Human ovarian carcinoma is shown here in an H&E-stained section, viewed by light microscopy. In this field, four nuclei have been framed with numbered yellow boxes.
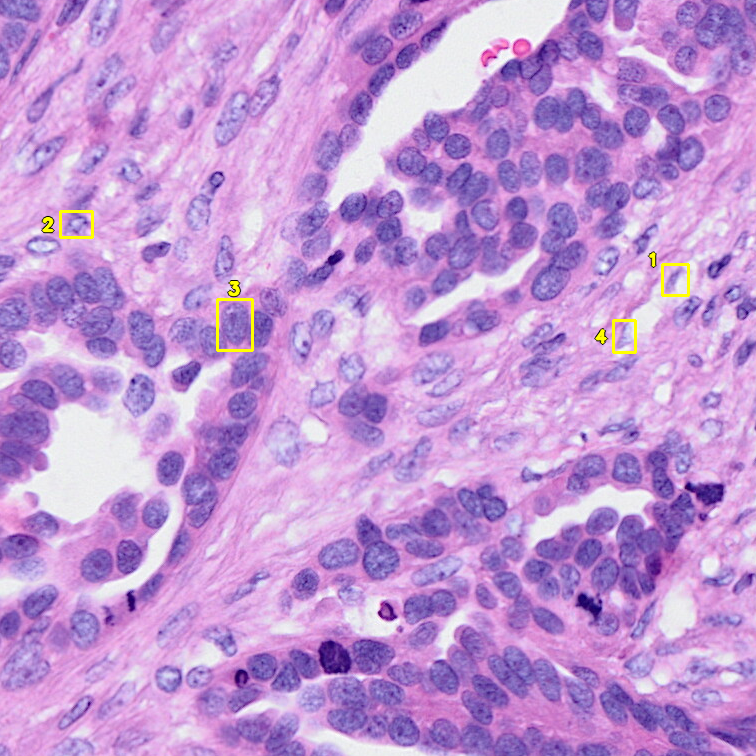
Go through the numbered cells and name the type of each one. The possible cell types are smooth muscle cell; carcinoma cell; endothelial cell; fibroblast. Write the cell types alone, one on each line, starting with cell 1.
fibroblast
fibroblast
carcinoma cell
fibroblast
